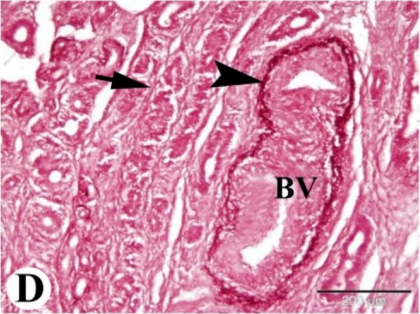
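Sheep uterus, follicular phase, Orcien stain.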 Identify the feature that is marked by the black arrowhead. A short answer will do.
external elastic lamina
